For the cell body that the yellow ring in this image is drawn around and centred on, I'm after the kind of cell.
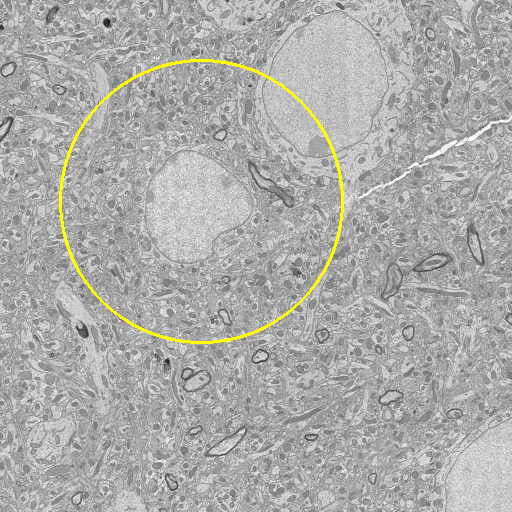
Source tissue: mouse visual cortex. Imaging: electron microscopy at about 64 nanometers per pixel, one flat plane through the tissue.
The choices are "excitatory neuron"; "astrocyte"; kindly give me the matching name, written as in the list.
astrocyte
